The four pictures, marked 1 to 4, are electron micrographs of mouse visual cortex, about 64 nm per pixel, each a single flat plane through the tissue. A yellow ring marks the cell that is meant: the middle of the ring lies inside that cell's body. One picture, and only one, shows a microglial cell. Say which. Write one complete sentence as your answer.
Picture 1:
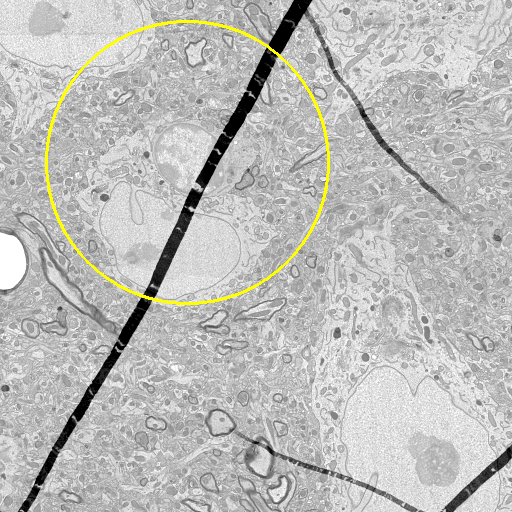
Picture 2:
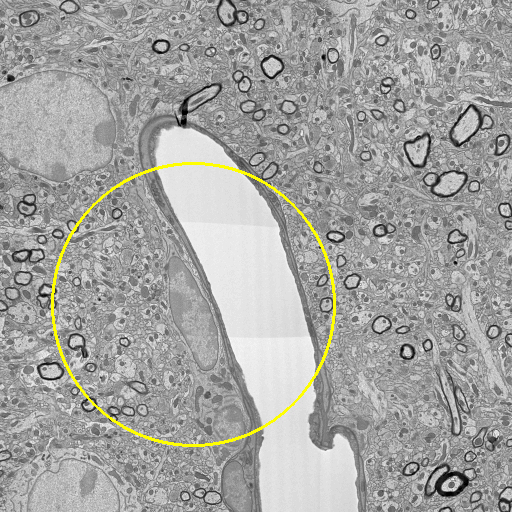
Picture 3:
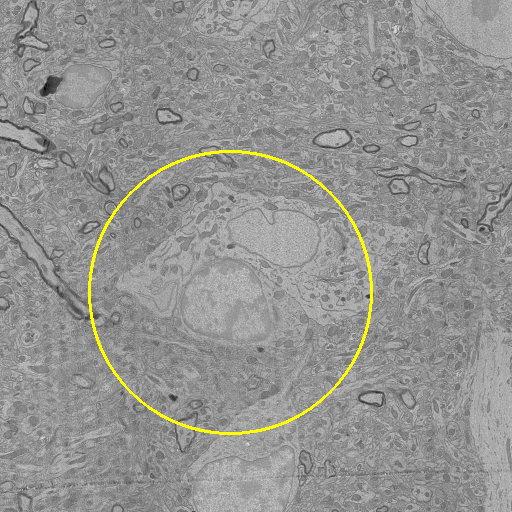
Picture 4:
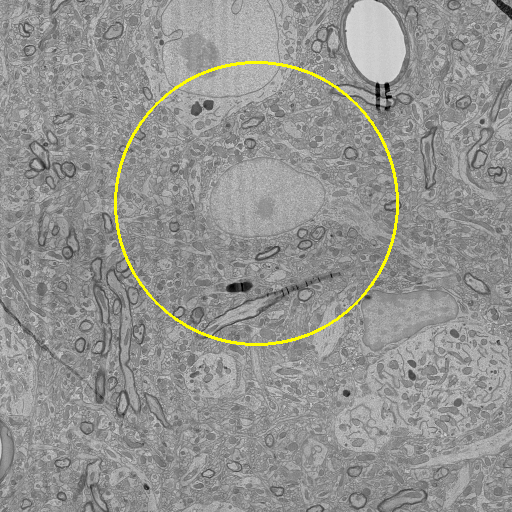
It is picture 2 that shows the microglial cell.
